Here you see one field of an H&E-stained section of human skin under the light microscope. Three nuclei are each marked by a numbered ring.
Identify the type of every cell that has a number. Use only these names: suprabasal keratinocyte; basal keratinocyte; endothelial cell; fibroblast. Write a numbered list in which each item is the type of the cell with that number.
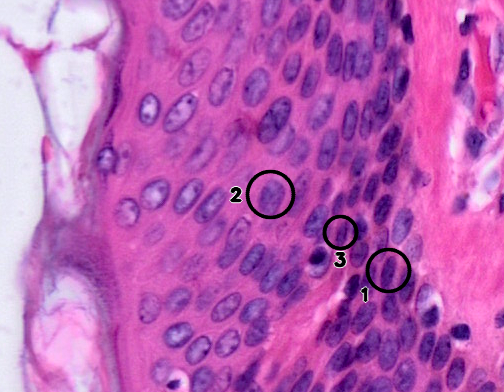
1. basal keratinocyte
2. suprabasal keratinocyte
3. basal keratinocyte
